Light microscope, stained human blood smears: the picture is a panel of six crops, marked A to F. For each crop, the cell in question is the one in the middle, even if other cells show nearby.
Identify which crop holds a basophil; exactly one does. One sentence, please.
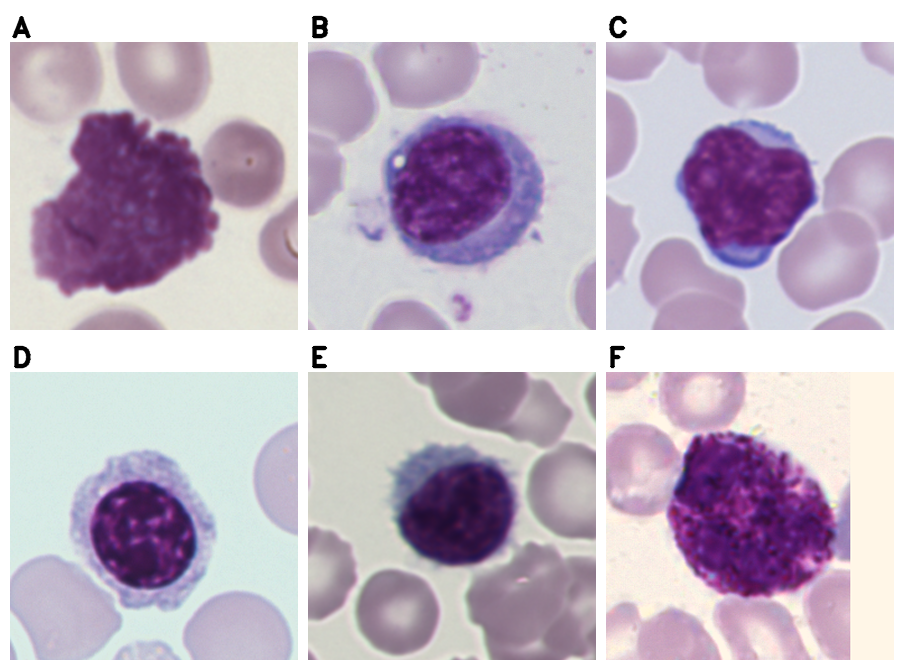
The crop that shows a basophil is crop F.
